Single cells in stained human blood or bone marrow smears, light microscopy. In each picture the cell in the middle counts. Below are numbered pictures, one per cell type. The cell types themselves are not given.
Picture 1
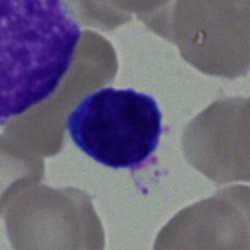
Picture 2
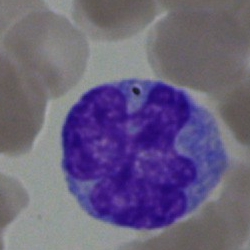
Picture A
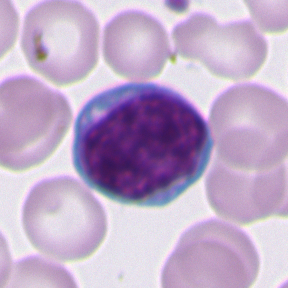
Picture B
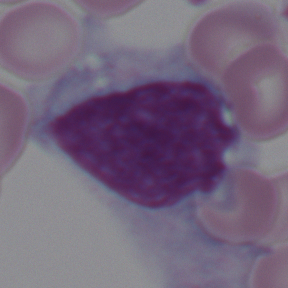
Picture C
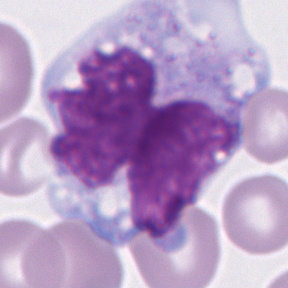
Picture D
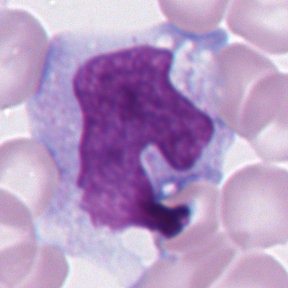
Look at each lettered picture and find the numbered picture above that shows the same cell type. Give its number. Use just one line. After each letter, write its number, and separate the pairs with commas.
A 1, B 2, C 2, D 2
